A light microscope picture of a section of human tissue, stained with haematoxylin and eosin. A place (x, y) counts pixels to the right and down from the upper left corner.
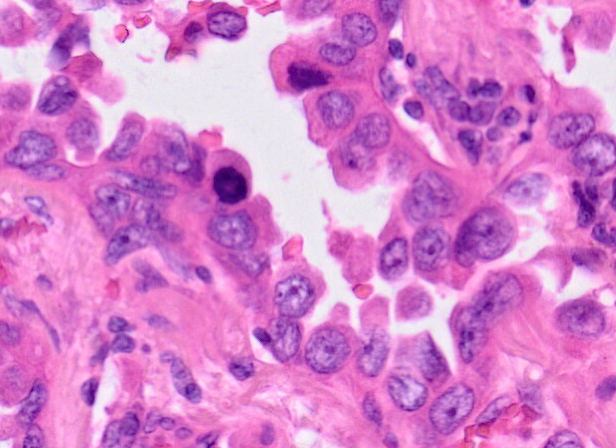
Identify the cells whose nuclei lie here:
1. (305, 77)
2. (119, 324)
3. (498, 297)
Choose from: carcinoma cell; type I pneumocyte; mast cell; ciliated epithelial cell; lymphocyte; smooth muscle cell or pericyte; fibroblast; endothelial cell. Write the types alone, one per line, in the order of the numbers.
carcinoma cell
lymphocyte
carcinoma cell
